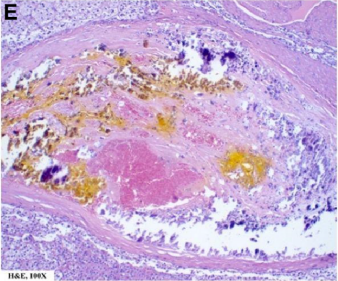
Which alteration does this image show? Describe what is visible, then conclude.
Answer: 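Dark purple granular deposits within a walled-off focus. Deposits lie among pink fibrin-like material and yellow-brown pigment.
Conclusion: calcification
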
